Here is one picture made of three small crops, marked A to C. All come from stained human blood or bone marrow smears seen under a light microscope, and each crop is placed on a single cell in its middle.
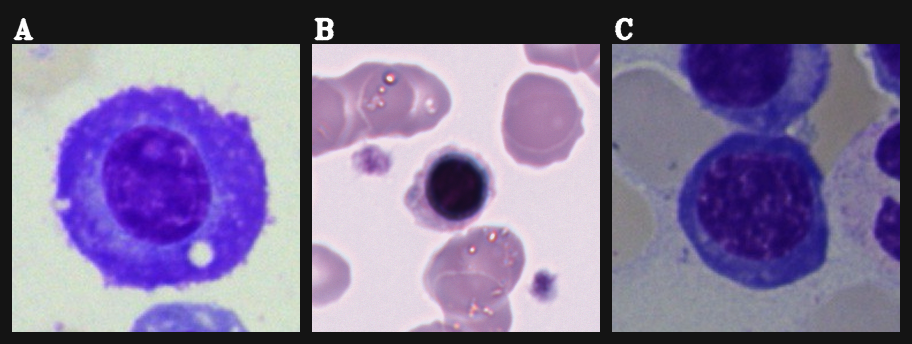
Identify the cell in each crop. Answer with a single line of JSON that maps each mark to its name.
{"A": "plasma cell", "B": "normoblast", "C": "plasma cell"}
